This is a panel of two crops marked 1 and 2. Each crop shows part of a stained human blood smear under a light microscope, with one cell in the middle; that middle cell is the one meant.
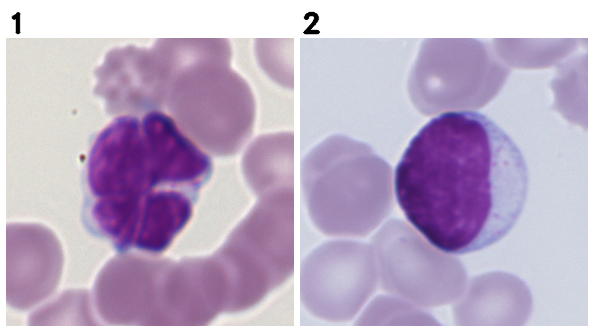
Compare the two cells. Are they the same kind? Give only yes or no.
yes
